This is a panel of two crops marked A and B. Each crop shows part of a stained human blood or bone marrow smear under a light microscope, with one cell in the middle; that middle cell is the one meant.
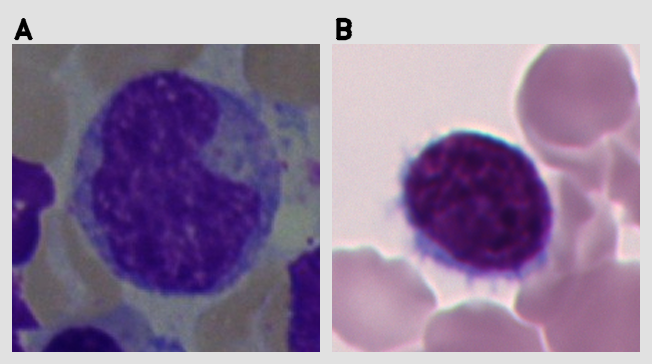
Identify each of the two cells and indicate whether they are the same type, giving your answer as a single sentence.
No, crop B holds a hairy cell, while crop A holds a monocyte.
